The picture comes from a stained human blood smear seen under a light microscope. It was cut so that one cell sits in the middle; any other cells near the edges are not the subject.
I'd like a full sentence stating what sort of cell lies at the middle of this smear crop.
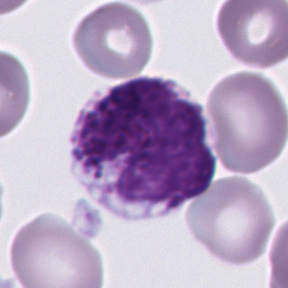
The crop shows a basophil in its centre.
